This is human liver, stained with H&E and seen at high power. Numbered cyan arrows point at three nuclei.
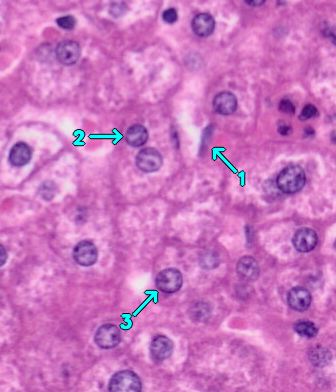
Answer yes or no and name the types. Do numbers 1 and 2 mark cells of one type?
No, cell 2 is a hepatocyte, but cell 1 is an endothelial cell.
